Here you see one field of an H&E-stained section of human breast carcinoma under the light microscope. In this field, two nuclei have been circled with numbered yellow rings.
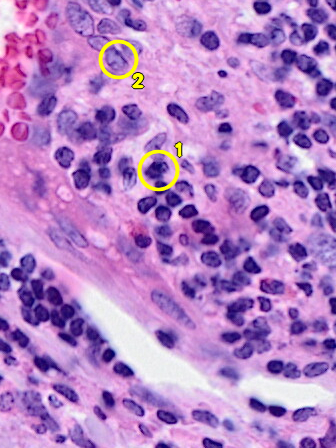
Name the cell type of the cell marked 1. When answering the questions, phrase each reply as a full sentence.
The cell referred to as 1 is a lymphocyte.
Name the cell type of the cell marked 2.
The cell referred to as 2 is an endothelial cell.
